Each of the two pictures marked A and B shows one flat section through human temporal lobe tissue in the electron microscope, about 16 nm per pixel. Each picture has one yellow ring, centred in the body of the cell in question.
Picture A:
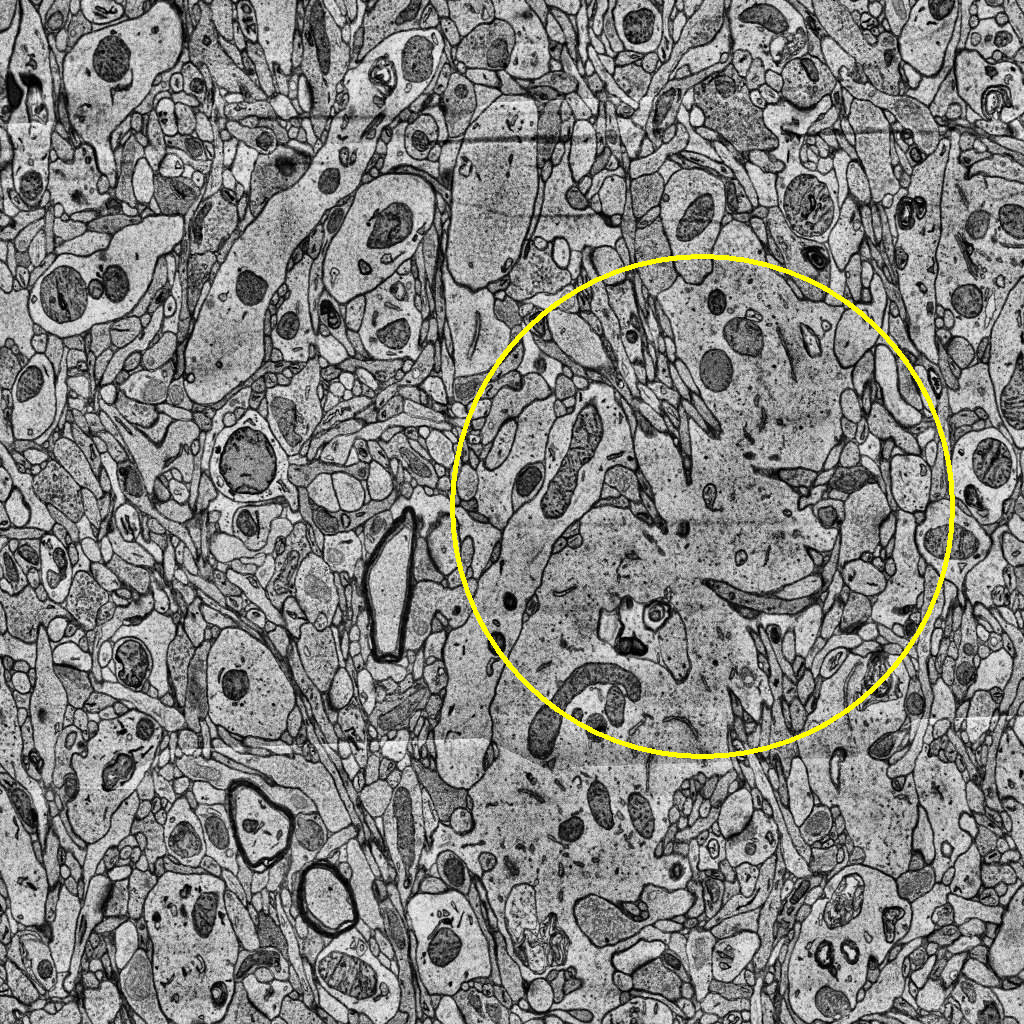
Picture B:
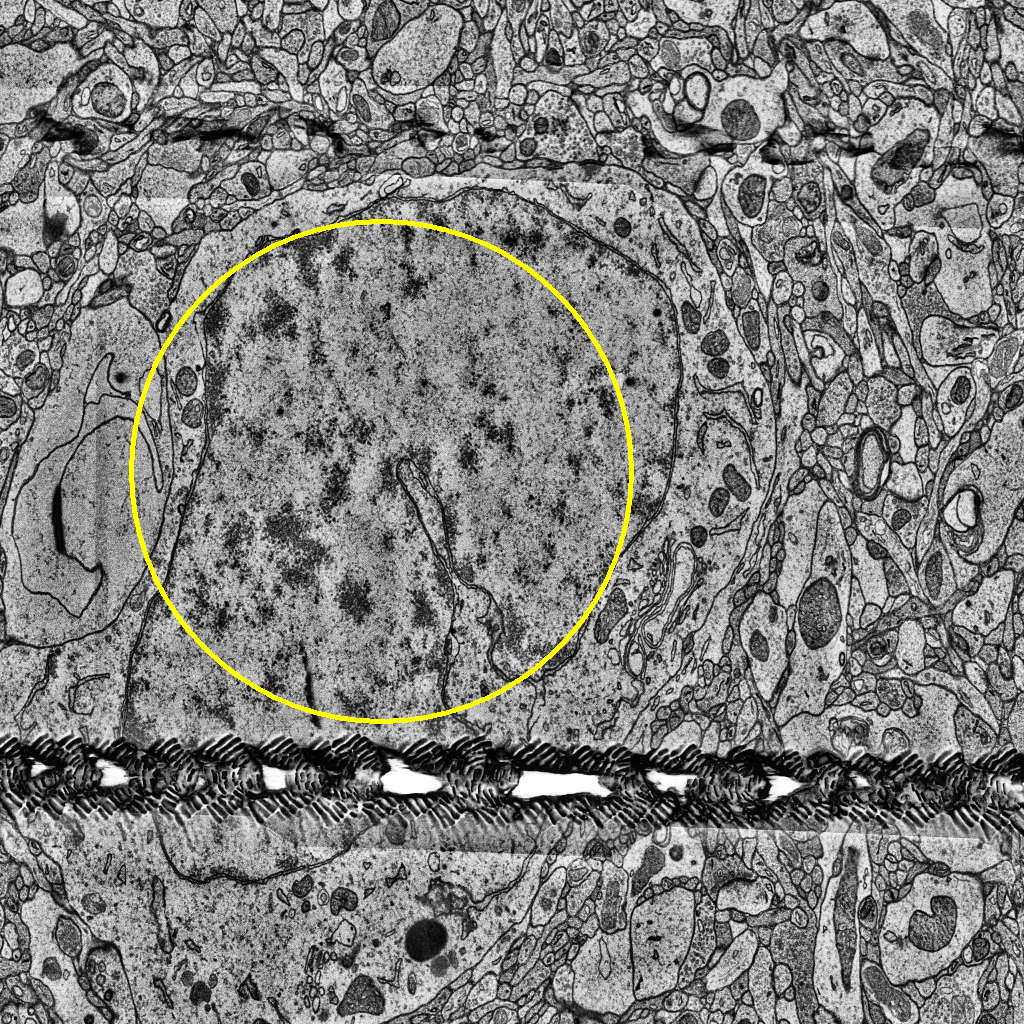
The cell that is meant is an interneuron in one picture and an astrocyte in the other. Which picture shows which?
The cell in picture A is an astrocyte, and the one in picture B is an interneuron.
